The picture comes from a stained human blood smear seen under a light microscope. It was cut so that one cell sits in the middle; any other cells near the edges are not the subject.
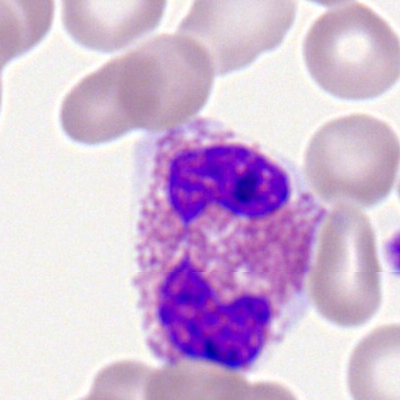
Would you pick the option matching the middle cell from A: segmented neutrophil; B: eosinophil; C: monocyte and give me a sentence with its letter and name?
The middle of the crop holds an eosinophil, which points to option B.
